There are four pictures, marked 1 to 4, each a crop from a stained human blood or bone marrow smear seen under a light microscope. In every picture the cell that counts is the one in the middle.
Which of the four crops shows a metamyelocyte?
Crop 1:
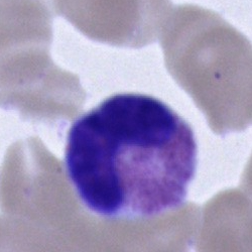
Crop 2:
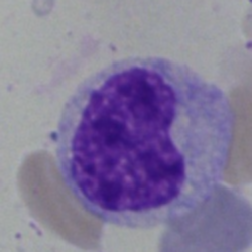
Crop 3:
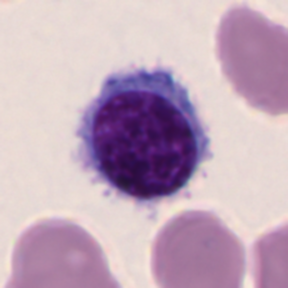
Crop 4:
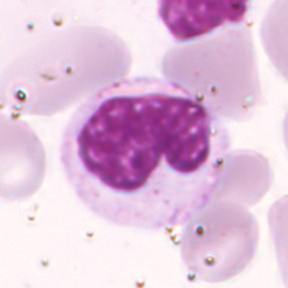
2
